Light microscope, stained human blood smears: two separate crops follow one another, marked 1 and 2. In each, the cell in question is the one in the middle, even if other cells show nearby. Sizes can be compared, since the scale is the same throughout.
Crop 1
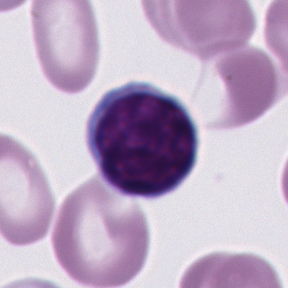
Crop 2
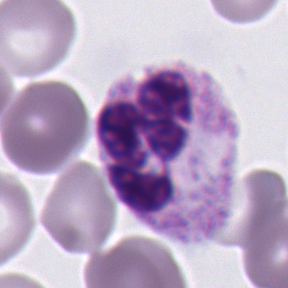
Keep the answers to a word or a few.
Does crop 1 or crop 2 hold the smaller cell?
1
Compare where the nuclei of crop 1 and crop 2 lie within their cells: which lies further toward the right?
1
